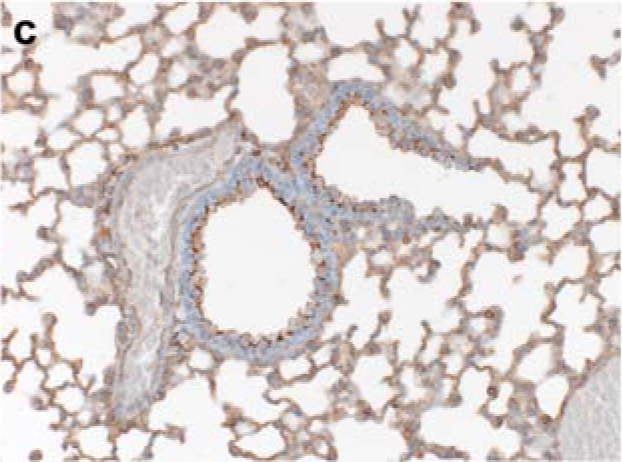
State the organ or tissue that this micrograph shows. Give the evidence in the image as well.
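Many thin-walled alveolar spaces form a lace-like network. The alveolar walls are stained brown.
Hence: lung tissue.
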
